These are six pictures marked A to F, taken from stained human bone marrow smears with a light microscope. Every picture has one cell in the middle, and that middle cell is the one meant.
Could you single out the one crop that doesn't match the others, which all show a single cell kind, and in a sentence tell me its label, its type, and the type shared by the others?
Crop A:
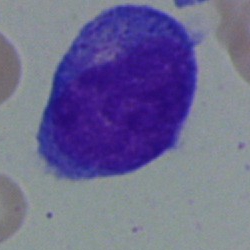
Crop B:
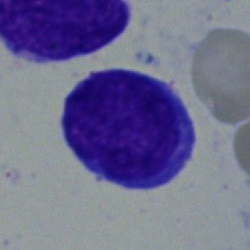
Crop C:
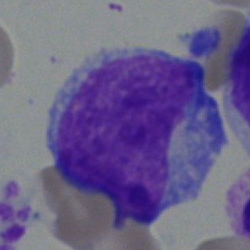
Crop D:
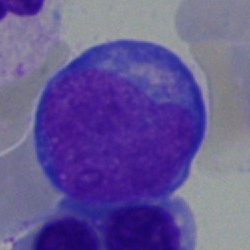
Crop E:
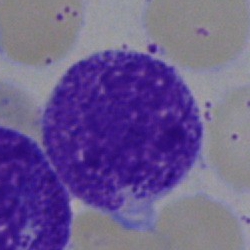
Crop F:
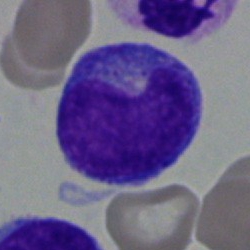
Apart from crop E, which shows a myelocyte, every crop shows blasts.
